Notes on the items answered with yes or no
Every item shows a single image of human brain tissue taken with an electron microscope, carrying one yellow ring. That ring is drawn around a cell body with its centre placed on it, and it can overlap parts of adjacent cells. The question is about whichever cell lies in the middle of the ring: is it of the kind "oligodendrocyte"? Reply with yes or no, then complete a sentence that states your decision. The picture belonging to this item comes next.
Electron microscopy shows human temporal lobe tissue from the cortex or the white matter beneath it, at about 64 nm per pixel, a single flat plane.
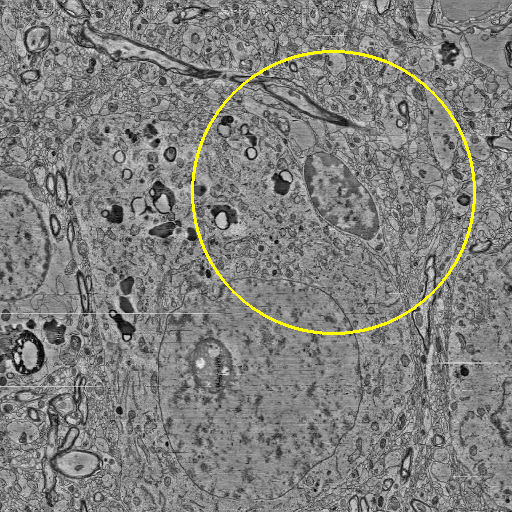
No, this micrograph shows a cell of another kind in the middle of the ring.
